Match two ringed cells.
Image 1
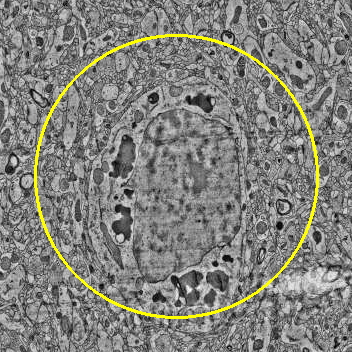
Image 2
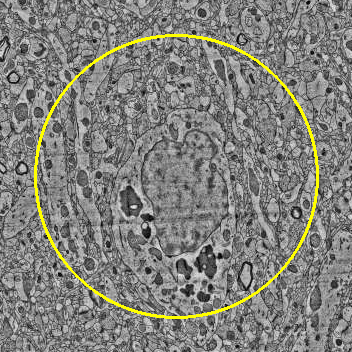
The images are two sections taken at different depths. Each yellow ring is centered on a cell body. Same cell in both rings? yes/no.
yes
